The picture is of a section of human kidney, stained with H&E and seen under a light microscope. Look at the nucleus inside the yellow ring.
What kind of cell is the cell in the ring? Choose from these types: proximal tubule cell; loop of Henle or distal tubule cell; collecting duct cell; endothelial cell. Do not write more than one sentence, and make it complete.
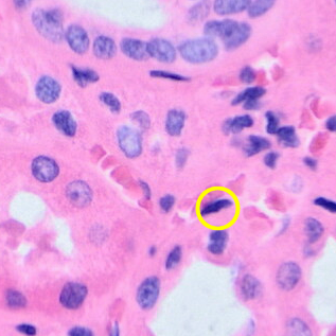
Just put down that the cell in the ring is an endothelial cell.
